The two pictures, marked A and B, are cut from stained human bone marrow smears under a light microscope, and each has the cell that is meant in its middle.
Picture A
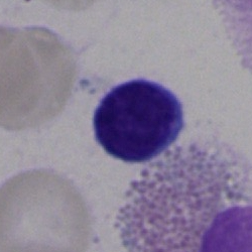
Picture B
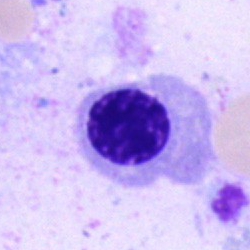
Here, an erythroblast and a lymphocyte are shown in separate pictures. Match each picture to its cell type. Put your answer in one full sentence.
Picture B shows an erythroblast, while picture A shows a lymphocyte.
